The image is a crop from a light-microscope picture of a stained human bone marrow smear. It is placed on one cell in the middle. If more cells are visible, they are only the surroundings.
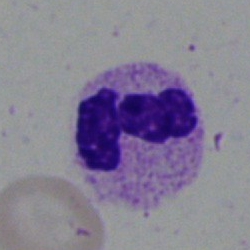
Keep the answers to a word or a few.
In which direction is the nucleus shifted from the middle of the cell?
upper left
